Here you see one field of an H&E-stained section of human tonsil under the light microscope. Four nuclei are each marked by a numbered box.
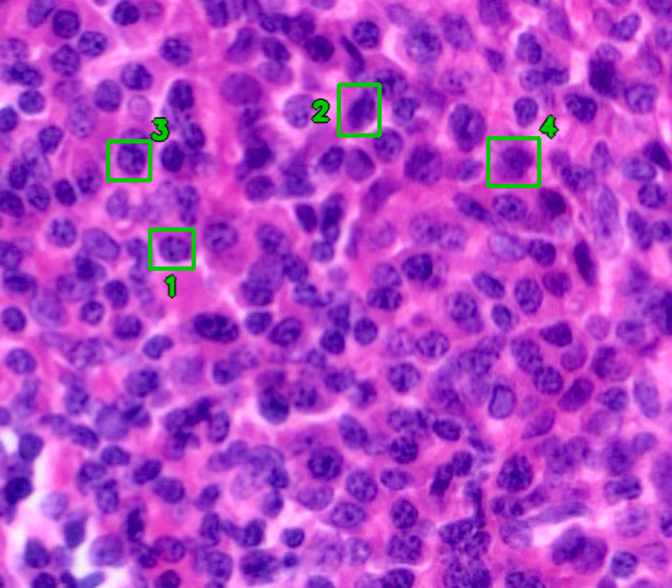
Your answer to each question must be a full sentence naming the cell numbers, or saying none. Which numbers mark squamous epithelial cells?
Regarding the numbered cells 2 and 4, these are squamous epithelial cells.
